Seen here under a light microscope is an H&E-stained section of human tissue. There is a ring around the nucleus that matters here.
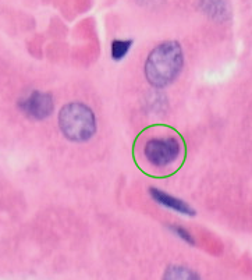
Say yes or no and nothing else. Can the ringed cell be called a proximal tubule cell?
yes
